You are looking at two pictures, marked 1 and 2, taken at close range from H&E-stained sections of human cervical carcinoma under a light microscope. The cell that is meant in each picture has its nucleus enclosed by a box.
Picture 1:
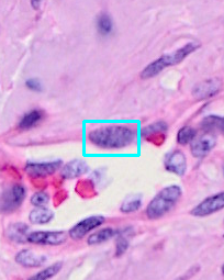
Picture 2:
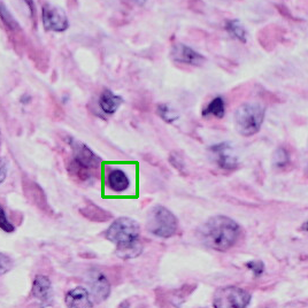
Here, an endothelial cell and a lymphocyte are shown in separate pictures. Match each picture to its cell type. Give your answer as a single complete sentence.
Picture 1 is of an endothelial cell, and picture 2 is of a lymphocyte.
